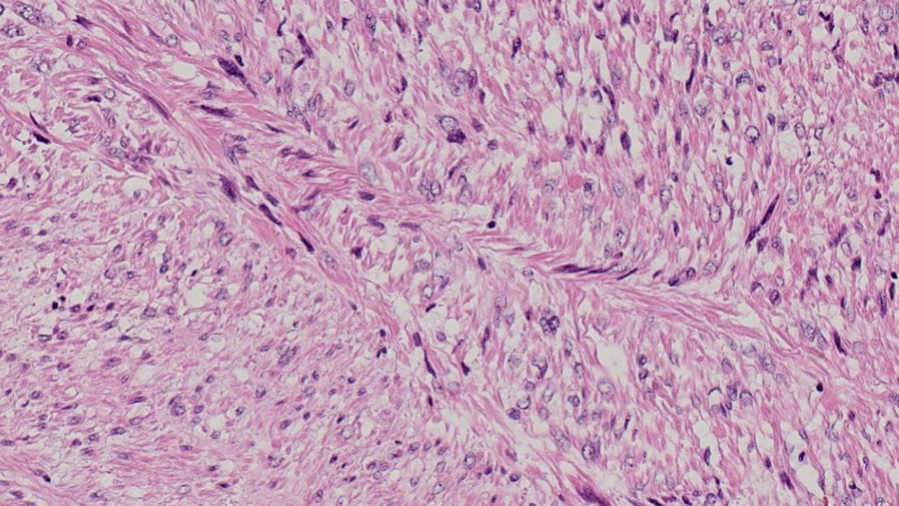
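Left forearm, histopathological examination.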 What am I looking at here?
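Dense sheet of spindle-shaped tumour cells with pink cytoplasm, arranged in fascicles that cross one another at various angles. A band of more compact, darker elongated cells runs obliquely across the field between looser areas. Nuclei vary in size and shape, from slender dark cigar-like forms to rounder, paler nuclei with visible chromatin. Cytoplasm is pink and fibrillary, with many small clear spaces between the cells. No normal tissue structures are seen in the field.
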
